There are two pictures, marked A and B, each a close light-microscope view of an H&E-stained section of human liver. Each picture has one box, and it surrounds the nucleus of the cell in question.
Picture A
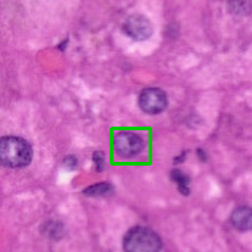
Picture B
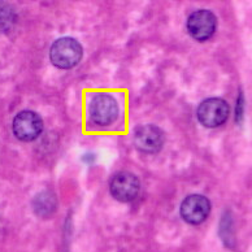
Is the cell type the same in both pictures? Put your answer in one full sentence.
Yes, they are the same type: both are hepatocytes.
